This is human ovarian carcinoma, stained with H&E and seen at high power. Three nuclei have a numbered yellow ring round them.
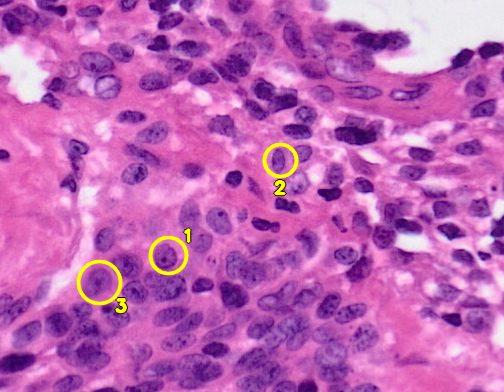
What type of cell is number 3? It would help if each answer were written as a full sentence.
It is as a carcinoma cell that the cell numbered 3 is identified.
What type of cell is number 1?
Number 1 among the marked cells is a carcinoma cell.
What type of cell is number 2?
To a macrophage or monocyte belongs the nucleus marked 2.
